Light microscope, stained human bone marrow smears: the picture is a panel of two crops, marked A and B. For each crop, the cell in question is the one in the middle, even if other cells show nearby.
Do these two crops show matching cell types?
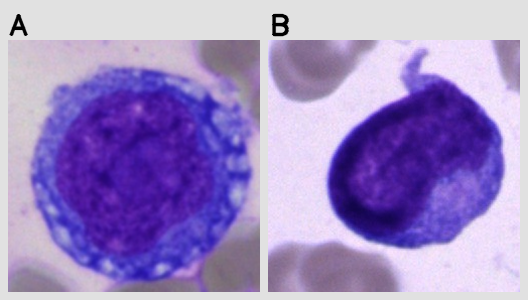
yes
